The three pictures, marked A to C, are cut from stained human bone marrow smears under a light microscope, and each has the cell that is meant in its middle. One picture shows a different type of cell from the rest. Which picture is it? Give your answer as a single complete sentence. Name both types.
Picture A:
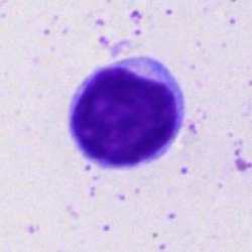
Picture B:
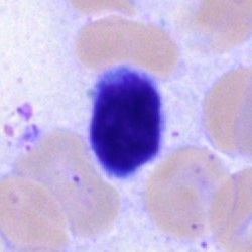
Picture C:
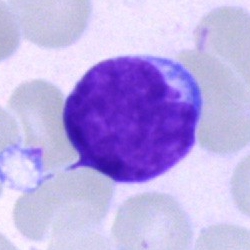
The others show lymphocytes, but picture C shows a blast.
